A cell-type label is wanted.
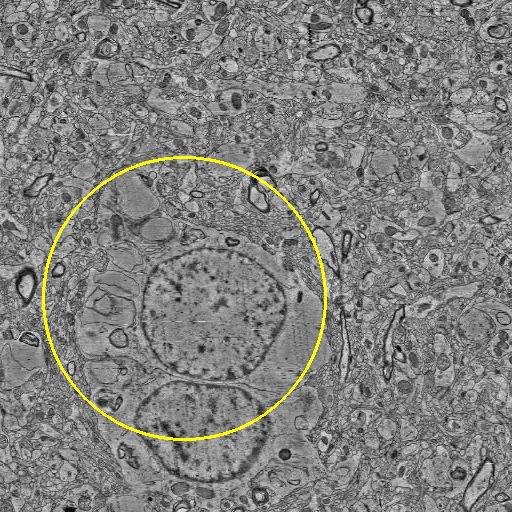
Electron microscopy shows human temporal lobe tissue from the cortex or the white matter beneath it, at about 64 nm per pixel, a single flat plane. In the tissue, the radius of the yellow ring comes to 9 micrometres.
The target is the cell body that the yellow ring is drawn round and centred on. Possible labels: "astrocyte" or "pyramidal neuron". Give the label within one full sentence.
Of the labels offered, the cell in the middle of the yellow ring is an astrocyte.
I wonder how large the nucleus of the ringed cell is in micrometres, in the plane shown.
In this plane, the nucleus of the cell at the centre of the ring is about 9 micrometres across.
